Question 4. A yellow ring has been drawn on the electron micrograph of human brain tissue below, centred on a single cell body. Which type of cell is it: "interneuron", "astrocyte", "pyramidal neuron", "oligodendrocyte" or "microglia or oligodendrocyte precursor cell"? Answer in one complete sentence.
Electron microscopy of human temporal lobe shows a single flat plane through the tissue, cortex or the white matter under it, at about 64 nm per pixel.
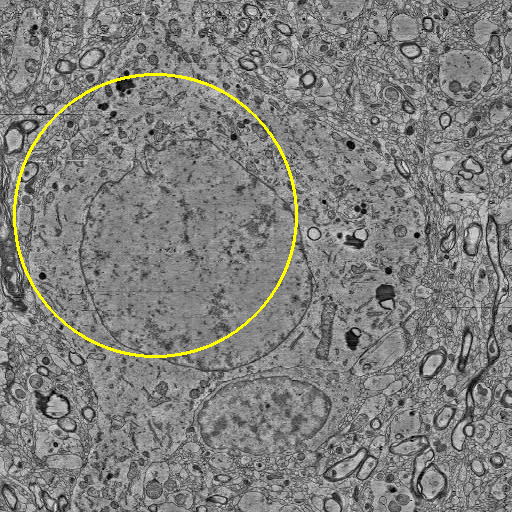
This cell body belongs to a pyramidal neuron.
